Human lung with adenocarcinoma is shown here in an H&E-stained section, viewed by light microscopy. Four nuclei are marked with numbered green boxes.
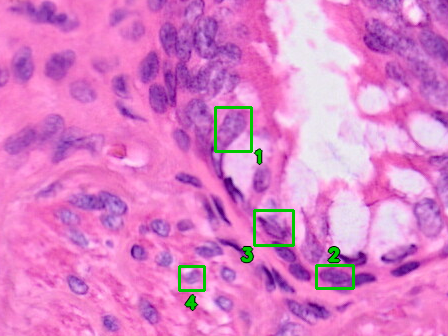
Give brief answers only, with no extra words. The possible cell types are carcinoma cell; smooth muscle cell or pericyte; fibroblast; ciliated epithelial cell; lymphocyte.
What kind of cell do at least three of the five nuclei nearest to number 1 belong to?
ciliated epithelial cell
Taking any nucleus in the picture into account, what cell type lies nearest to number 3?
ciliated epithelial cell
